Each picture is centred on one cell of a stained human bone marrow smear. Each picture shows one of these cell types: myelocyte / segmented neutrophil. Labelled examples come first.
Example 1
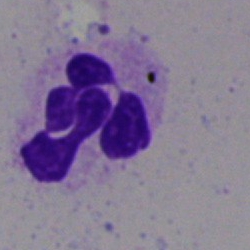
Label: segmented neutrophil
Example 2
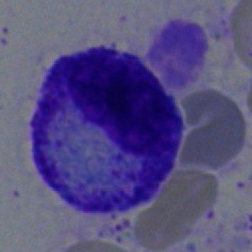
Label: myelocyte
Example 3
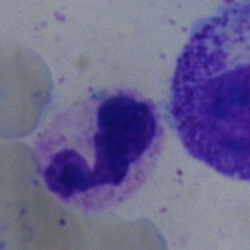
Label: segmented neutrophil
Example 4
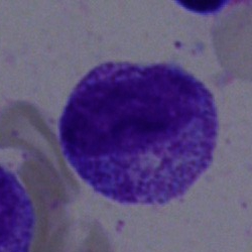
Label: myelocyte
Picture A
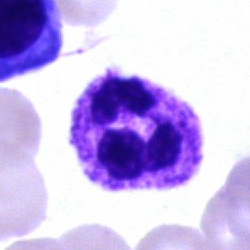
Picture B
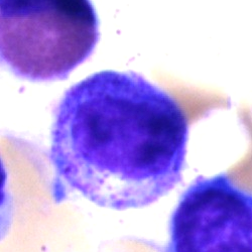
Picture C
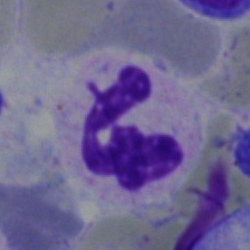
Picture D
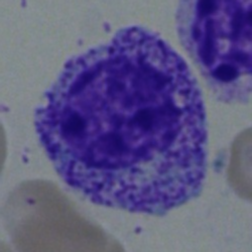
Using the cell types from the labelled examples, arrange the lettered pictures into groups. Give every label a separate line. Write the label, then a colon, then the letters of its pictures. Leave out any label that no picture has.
myelocyte: B, D
segmented neutrophil: A, C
